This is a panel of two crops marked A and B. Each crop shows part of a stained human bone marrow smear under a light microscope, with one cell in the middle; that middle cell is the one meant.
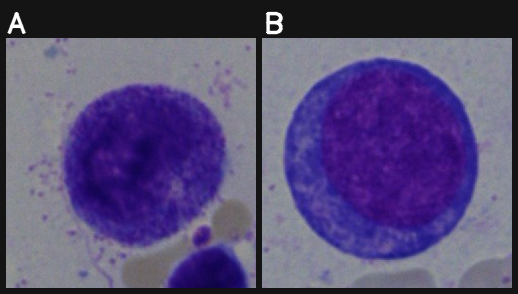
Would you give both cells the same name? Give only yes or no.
no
